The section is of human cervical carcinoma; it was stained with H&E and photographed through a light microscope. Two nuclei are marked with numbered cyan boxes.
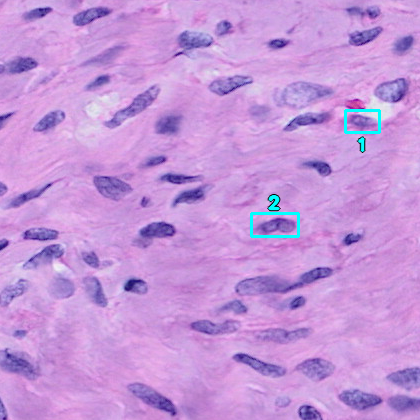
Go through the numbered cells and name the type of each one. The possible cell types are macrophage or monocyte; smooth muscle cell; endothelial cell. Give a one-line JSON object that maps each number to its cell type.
{"1": "endothelial cell", "2": "smooth muscle cell"}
